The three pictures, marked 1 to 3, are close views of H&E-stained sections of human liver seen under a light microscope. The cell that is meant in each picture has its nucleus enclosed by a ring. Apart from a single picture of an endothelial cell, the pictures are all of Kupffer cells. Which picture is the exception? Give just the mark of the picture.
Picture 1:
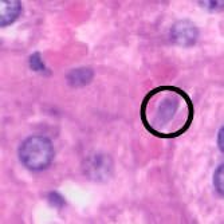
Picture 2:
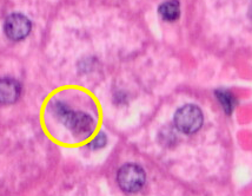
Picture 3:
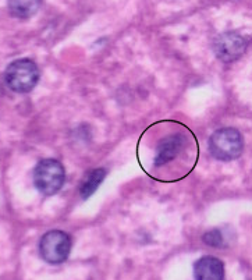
3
